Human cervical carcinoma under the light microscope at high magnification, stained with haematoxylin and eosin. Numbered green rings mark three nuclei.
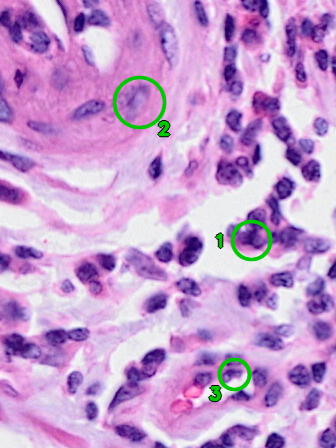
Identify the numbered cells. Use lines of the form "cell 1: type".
cell 1: lymphocyte
cell 2: smooth muscle cell
cell 3: endothelial cell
